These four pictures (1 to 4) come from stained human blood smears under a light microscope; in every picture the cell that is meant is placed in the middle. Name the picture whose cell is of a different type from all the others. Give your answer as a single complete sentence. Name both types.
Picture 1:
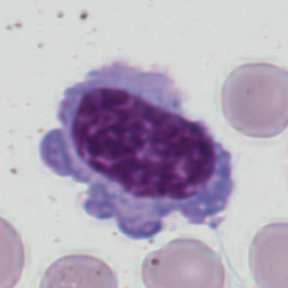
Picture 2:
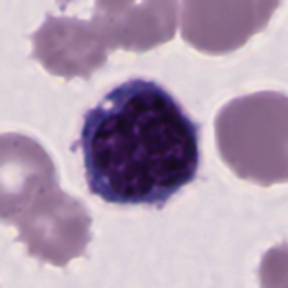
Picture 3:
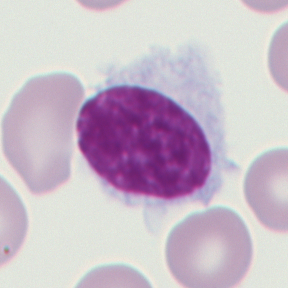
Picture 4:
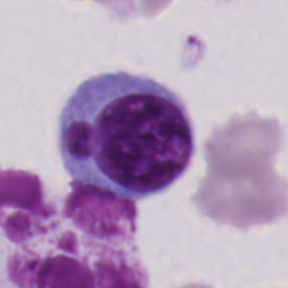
Picture 3 is the odd one out: it shows a hairy cell, while the others show plasma cells.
